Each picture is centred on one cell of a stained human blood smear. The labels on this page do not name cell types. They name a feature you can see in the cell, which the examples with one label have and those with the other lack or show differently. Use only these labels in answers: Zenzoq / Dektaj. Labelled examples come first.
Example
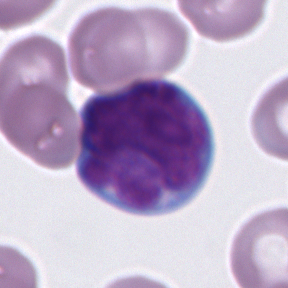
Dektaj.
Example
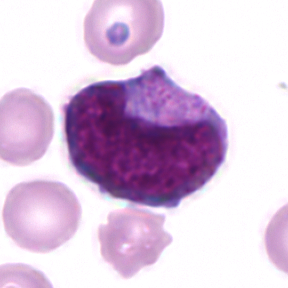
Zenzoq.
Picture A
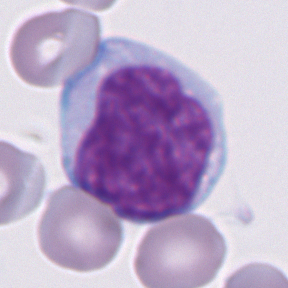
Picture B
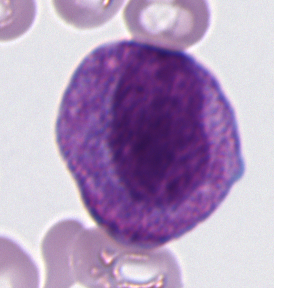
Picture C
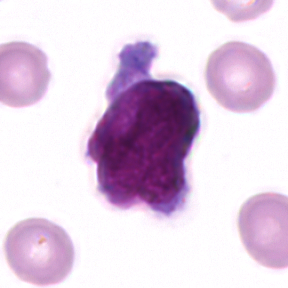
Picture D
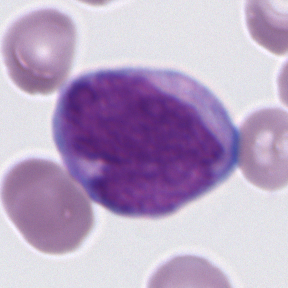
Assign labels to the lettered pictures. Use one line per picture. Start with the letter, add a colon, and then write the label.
A: Dektaj.
B: Dektaj.
C: Zenzoq.
D: Dektaj.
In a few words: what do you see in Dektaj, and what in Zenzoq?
Dektaj: smooth outline; Zenzoq: ragged outline or projections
